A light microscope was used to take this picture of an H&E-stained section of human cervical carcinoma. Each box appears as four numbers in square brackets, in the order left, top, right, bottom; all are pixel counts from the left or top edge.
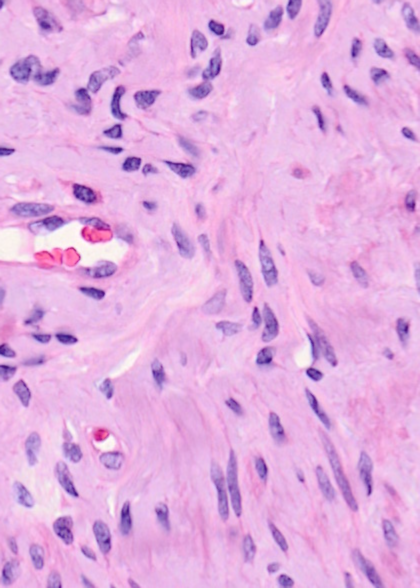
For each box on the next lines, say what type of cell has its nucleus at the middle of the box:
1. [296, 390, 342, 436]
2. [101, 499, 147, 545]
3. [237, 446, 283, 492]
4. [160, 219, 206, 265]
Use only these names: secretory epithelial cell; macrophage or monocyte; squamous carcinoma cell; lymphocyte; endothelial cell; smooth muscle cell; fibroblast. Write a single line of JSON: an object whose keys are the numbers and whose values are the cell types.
{"1": "fibroblast", "2": "fibroblast", "3": "smooth muscle cell", "4": "fibroblast"}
